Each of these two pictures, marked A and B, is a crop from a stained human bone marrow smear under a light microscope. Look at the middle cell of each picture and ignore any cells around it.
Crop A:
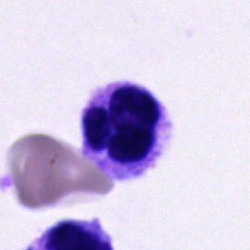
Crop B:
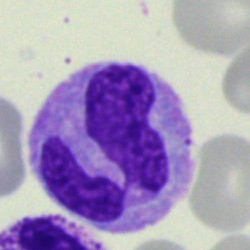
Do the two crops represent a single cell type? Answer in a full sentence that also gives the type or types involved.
No, it is a segmented neutrophil in crop A and a monocyte in crop B.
